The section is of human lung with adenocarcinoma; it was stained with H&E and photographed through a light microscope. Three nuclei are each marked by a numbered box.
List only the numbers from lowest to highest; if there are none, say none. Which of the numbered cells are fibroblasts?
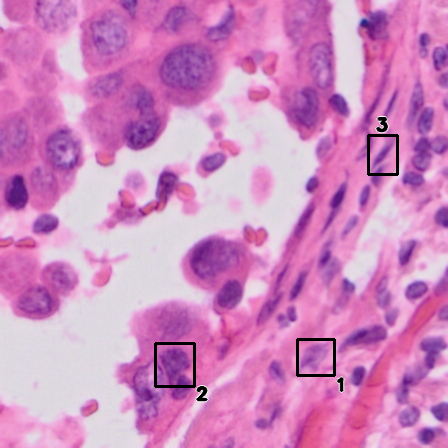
1, 3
